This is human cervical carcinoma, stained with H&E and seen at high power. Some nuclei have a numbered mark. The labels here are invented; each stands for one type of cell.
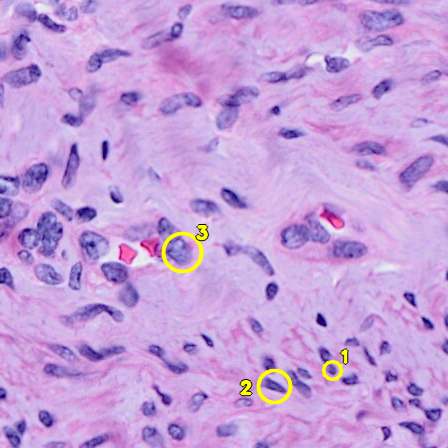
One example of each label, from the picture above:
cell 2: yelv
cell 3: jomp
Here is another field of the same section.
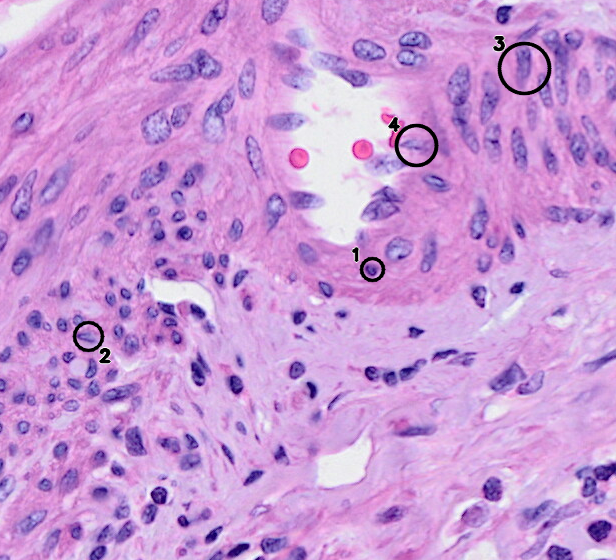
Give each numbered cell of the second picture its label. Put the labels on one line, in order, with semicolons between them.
yelv; yelv; yelv; jomp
